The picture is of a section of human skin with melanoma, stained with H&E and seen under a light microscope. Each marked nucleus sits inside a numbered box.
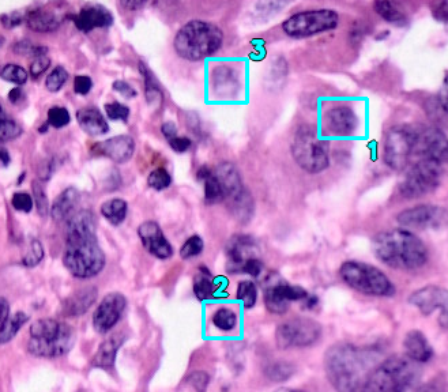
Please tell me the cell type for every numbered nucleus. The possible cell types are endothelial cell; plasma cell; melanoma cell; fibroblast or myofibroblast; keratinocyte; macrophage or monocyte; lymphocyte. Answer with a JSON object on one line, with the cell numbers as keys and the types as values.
{"1": "melanoma cell", "2": "lymphocyte", "3": "melanoma cell"}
